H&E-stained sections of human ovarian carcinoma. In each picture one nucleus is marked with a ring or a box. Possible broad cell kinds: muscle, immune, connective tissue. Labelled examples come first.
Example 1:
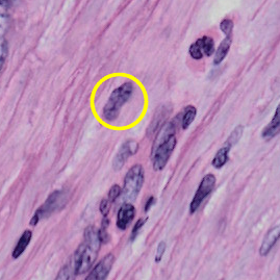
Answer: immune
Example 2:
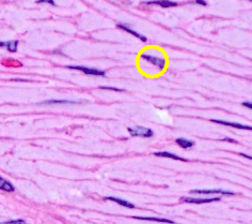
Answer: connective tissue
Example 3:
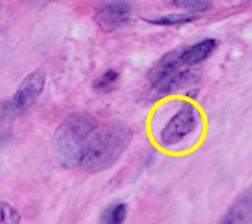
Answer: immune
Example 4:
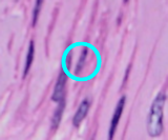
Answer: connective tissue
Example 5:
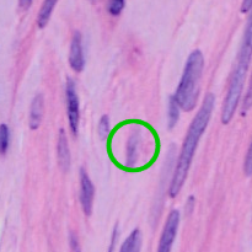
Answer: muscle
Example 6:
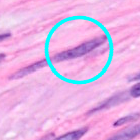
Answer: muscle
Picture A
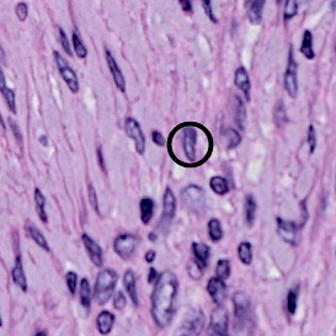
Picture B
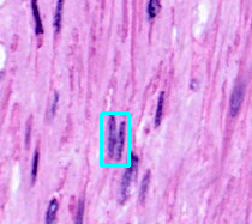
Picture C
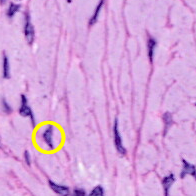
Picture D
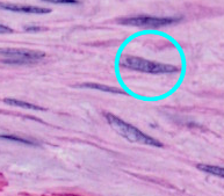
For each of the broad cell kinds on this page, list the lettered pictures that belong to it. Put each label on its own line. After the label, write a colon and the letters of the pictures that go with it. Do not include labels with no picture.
connective tissue: A, B, C, D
